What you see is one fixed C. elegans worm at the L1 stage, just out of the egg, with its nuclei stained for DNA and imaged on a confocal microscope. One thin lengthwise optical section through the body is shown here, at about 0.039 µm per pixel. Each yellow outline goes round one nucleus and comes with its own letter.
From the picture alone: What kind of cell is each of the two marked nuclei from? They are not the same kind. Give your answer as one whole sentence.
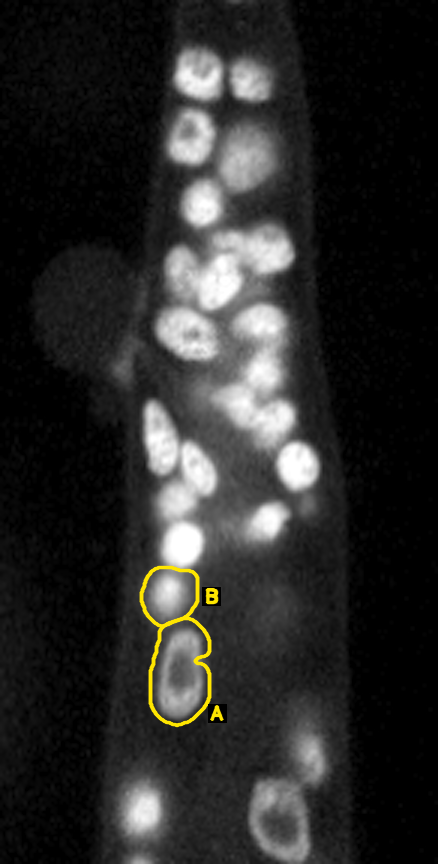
One is from an intestinal cell, namely A, and the other, B, is from a neuron.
